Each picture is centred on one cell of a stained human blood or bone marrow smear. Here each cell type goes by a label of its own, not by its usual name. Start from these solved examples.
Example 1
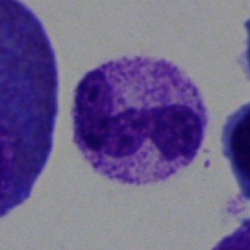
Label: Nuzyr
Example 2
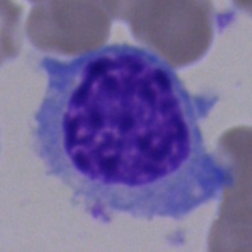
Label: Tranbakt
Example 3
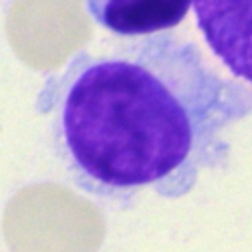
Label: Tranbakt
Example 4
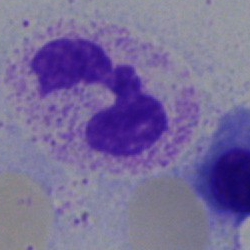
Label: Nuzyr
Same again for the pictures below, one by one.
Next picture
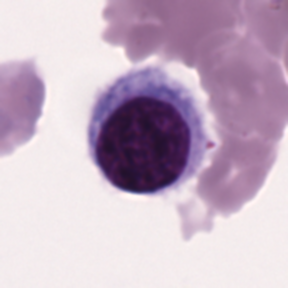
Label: Tranbakt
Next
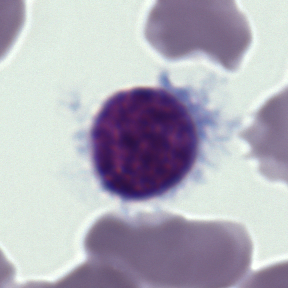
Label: Tranbakt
